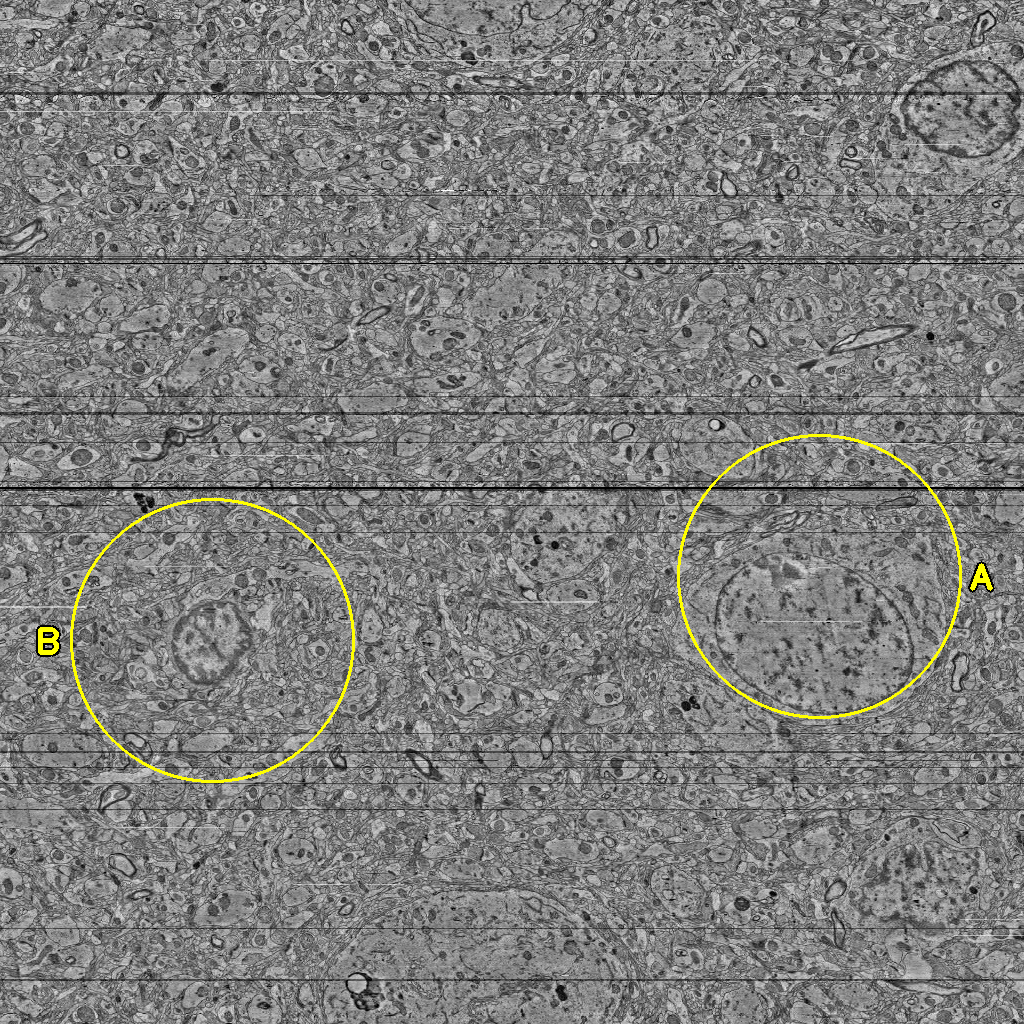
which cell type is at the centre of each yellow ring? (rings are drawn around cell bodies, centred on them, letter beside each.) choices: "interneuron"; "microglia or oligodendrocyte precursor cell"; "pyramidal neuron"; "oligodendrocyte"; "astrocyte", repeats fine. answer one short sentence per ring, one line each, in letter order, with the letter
Ring A is a pyramidal neuron.
Ring B is an oligodendrocyte.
